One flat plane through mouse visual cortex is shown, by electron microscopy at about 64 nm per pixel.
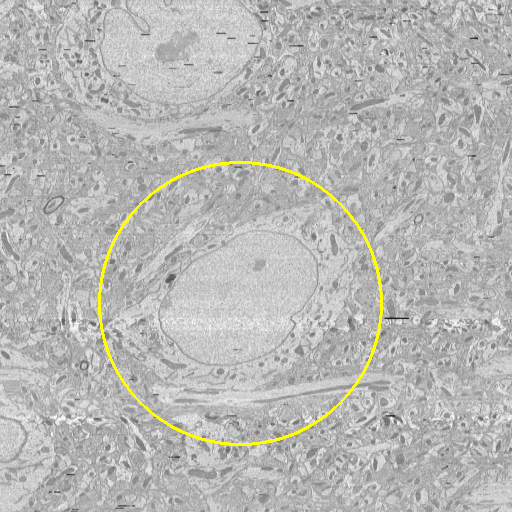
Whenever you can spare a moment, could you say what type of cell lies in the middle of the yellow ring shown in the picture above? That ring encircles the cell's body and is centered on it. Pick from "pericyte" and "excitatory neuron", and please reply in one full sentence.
The cell whose body sits at the middle of the yellow ring is an excitatory neuron.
